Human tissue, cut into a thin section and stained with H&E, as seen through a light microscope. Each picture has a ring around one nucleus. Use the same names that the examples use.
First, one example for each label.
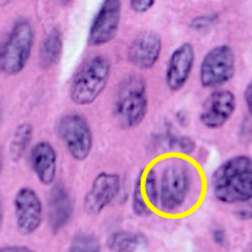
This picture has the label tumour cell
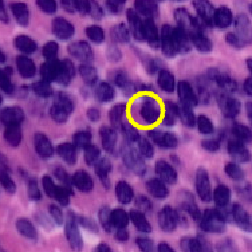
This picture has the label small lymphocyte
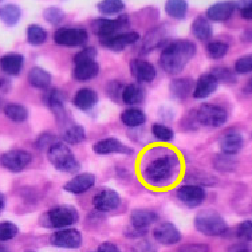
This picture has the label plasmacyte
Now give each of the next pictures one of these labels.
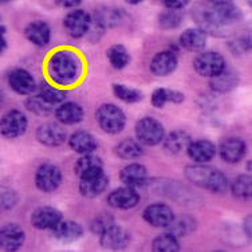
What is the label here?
plasmacyte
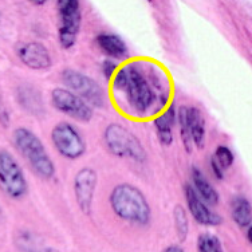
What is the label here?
tumour cell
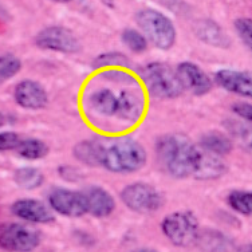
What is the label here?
tumour cell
